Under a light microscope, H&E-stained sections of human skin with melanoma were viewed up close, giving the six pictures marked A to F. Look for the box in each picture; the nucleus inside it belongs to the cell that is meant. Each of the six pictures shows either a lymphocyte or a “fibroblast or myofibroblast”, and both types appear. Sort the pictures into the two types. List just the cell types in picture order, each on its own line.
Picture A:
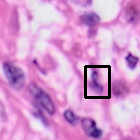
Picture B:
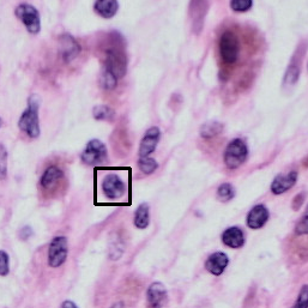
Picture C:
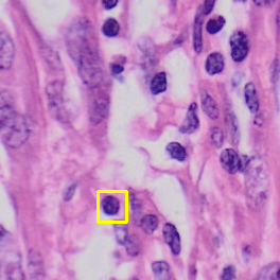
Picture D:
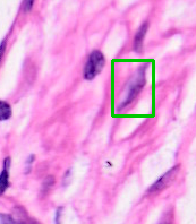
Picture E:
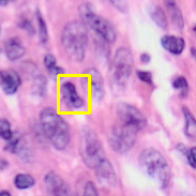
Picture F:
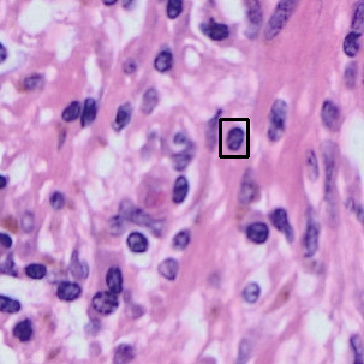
fibroblast or myofibroblast
lymphocyte
lymphocyte
fibroblast or myofibroblast
lymphocyte
lymphocyte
